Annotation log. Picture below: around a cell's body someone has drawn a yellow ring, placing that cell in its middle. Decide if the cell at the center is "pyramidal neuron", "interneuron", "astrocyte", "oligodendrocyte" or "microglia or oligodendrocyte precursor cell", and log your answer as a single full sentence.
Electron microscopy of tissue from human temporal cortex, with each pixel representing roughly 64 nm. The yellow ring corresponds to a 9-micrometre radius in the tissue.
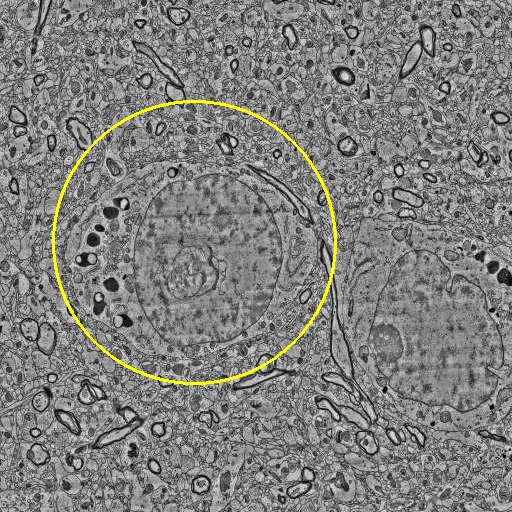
My entry records an interneuron as the cell sitting at the center of the yellow ring.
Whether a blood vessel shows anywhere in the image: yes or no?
No, none appears.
